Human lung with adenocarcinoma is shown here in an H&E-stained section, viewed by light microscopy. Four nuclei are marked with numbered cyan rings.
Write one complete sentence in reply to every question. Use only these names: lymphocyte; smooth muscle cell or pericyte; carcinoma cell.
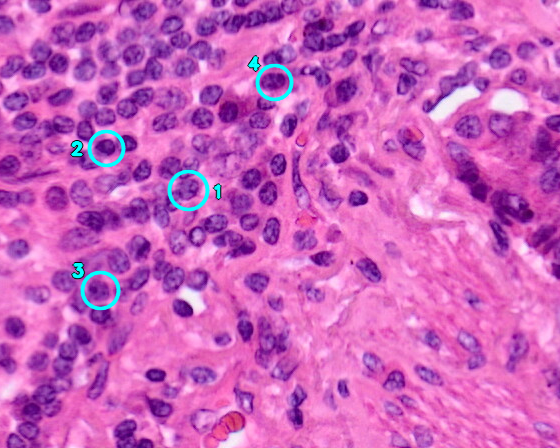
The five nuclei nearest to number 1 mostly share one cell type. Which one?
Lymphocytes make up most of the five nuclei closest to number 1.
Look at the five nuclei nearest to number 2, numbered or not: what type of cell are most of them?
Lymphocytes account for more than half of the five nuclei nearest to number 2.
